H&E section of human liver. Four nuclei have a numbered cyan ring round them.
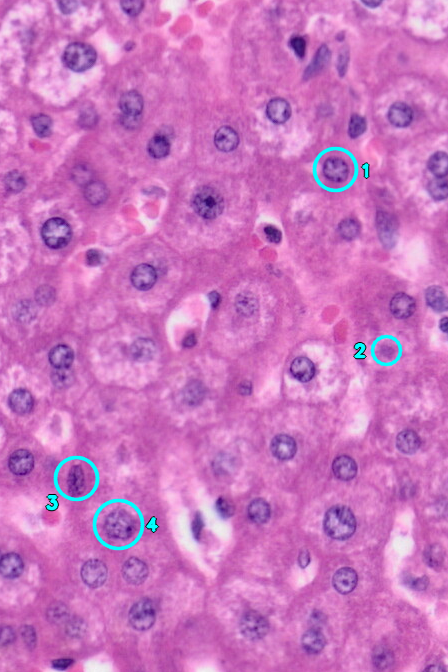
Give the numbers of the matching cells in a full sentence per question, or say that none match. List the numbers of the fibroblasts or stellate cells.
Mind that only cell 3 is a fibroblast or stellate cell, none of the rest.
